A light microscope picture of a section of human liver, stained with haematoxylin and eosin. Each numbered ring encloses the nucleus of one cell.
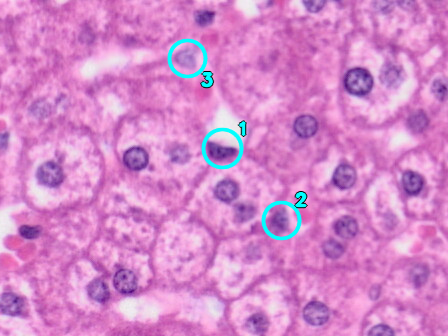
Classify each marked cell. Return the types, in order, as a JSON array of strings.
["endothelial cell", "endothelial cell", "Kupffer cell"]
